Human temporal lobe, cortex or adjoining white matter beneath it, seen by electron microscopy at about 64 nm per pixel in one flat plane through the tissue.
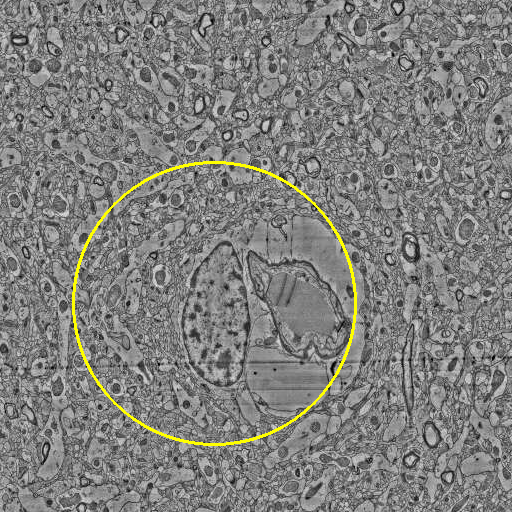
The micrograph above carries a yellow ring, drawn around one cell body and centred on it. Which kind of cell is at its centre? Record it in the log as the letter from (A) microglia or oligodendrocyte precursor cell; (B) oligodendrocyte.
A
